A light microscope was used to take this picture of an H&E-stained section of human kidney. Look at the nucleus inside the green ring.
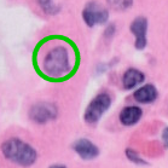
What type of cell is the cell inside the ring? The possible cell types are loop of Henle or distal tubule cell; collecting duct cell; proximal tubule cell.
loop of Henle or distal tubule cell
